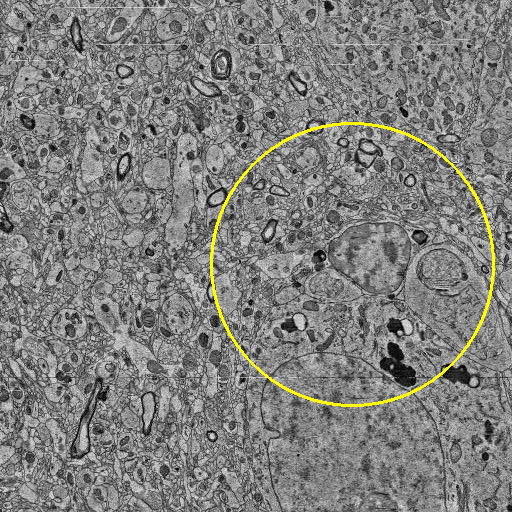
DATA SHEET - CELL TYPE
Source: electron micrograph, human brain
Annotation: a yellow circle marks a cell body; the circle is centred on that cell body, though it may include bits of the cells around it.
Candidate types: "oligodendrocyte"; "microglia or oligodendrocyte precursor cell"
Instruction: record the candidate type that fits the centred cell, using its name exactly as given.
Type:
microglia or oligodendrocyte precursor cell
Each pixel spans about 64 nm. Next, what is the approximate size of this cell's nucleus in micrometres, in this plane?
In this plane the ringed cell's nucleus is roughly 5 micrometres across.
